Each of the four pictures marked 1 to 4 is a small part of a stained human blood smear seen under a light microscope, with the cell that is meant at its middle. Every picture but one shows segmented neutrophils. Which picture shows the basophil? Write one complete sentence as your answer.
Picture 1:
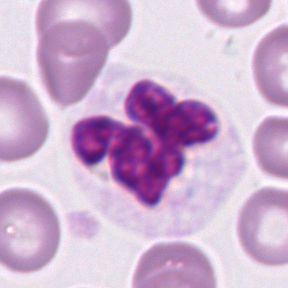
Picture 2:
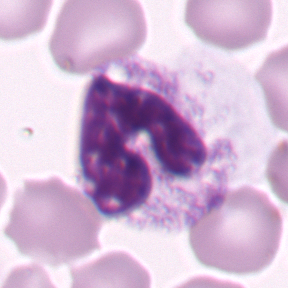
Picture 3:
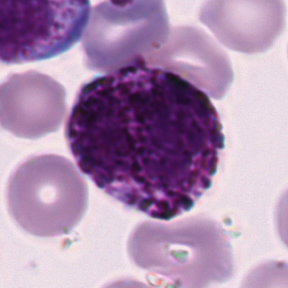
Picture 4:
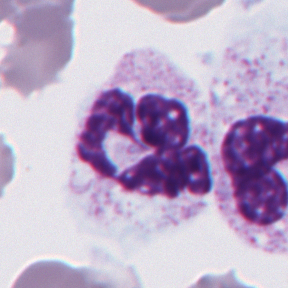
Picture 3 is the one that shows the basophil.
